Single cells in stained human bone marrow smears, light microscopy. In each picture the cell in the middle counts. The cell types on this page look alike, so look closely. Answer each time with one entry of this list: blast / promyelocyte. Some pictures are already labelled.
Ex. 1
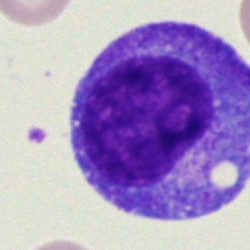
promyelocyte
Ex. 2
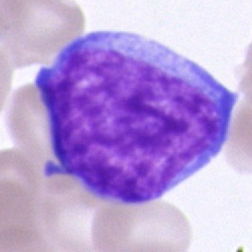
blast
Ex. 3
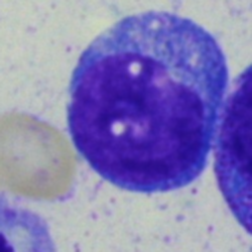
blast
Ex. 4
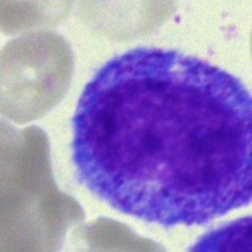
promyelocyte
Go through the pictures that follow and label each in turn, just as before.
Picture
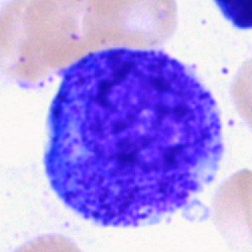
promyelocyte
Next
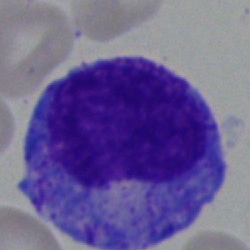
promyelocyte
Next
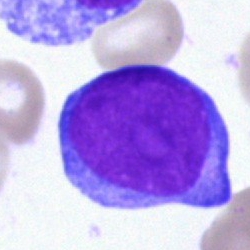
blast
